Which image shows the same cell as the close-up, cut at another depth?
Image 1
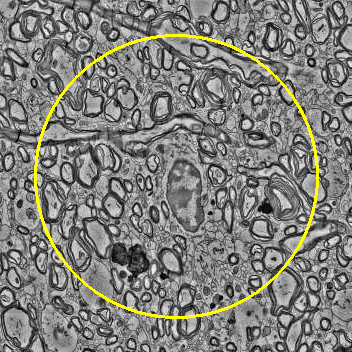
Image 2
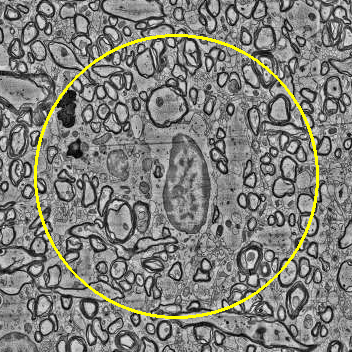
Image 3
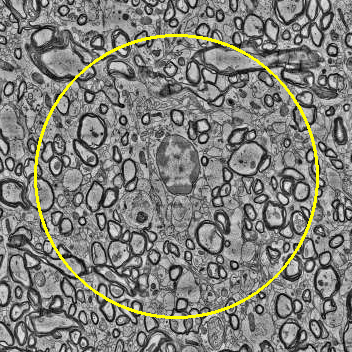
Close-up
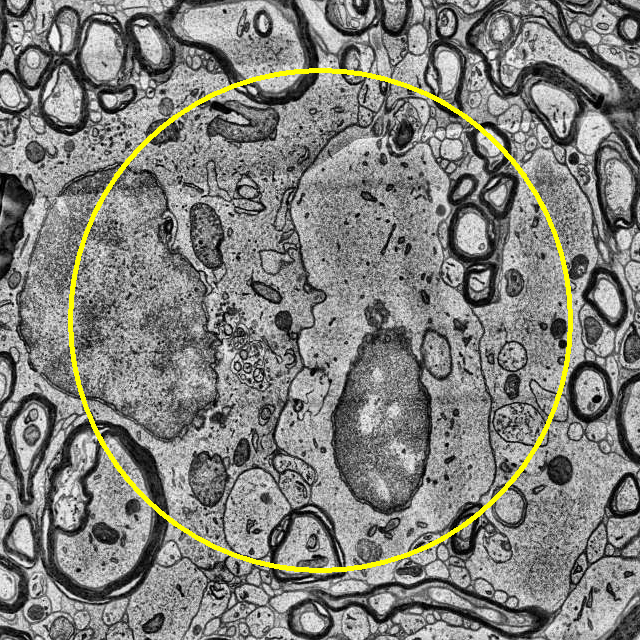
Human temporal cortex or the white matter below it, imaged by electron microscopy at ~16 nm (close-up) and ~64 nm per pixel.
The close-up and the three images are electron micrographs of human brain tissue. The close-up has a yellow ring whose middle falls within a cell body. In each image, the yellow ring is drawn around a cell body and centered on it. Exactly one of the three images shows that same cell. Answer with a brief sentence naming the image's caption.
The cell of the close-up is the one in Image 2.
